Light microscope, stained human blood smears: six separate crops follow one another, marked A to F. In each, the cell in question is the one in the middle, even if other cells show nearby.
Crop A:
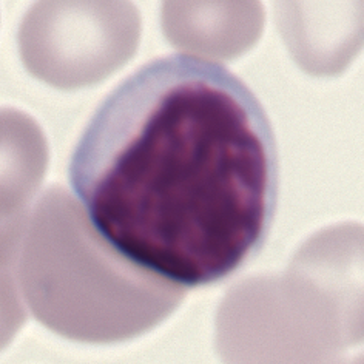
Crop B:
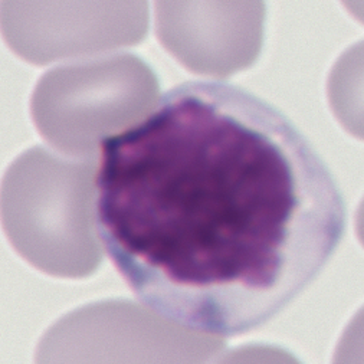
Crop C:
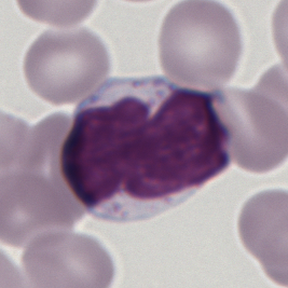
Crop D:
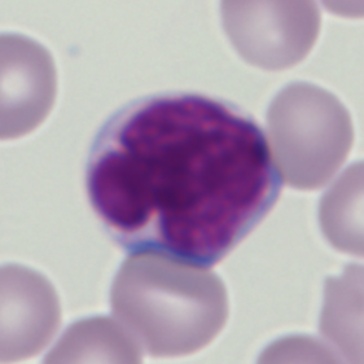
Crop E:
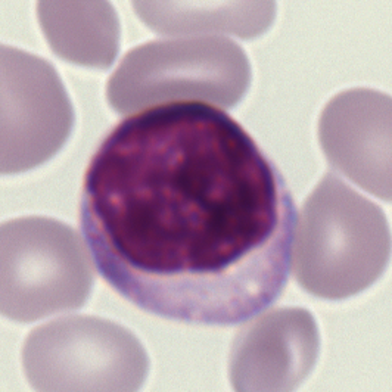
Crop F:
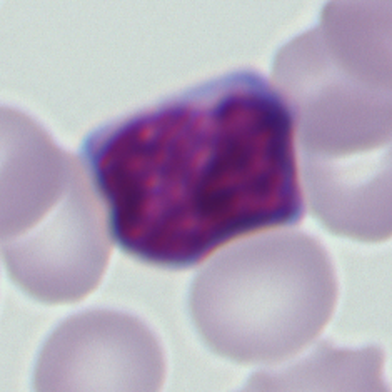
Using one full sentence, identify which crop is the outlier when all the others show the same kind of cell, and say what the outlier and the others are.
The one crop not showing large granular lymphocytes is crop F, which shows a typical lymphocyte.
